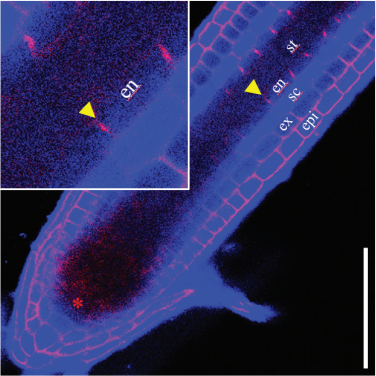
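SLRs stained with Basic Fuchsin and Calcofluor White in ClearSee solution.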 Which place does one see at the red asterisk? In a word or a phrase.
quiescent center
